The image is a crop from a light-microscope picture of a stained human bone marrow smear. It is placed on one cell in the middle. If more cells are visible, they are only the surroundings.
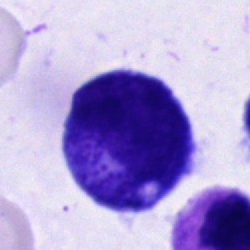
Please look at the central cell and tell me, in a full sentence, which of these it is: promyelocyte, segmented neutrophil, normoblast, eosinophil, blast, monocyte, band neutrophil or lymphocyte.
The cell that lies at the centre of the crop is a promyelocyte.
